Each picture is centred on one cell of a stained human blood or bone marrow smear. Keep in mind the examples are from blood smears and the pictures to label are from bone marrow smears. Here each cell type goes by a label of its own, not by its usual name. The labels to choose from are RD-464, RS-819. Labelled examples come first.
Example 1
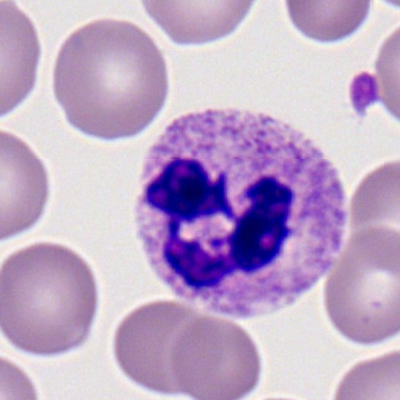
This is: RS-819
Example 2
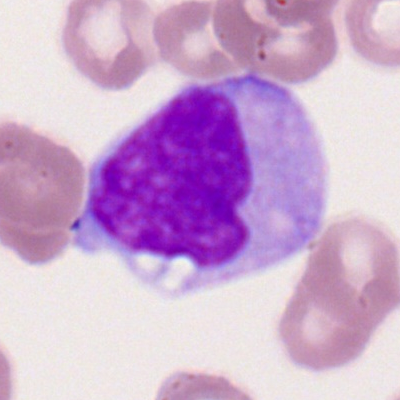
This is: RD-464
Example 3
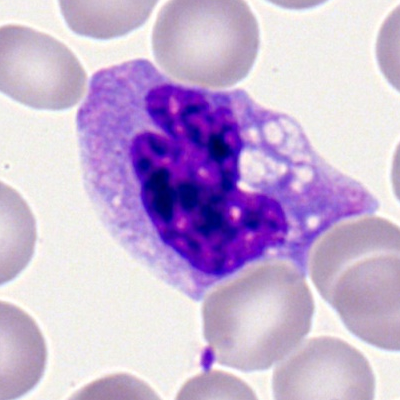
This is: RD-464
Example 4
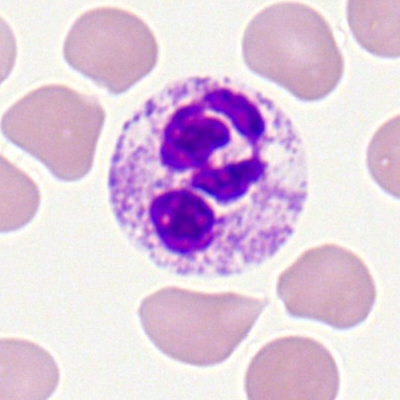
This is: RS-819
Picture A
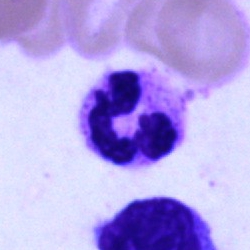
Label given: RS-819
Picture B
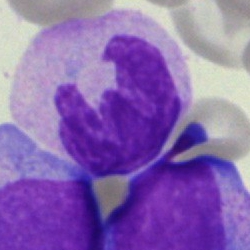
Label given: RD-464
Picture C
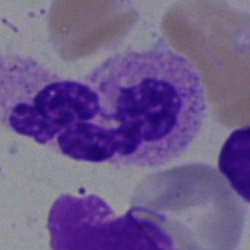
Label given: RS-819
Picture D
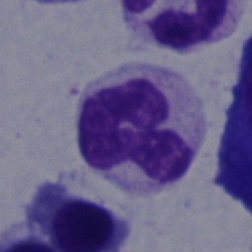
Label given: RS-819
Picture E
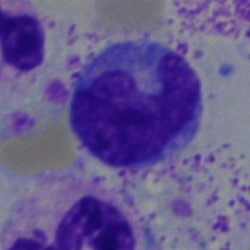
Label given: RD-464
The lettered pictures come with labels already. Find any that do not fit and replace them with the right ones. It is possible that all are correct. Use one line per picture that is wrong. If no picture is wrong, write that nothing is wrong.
Nothing to fix; every label fits.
